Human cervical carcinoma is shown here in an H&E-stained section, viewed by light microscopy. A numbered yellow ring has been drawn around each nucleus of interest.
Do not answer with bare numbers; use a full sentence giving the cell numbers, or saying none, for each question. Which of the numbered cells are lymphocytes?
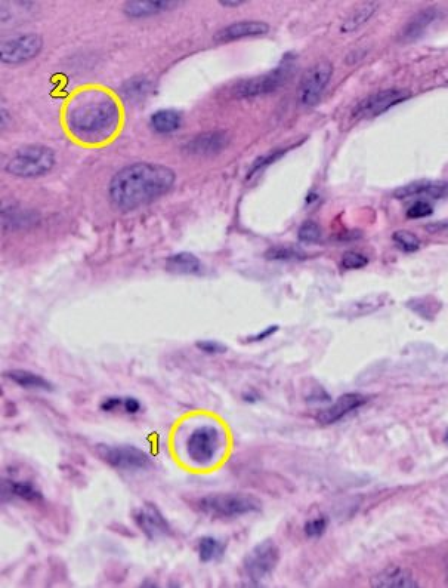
Only the cell numbered 1 is a lymphocyte, and the others are something else.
